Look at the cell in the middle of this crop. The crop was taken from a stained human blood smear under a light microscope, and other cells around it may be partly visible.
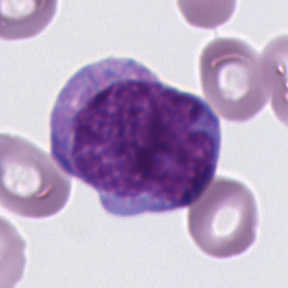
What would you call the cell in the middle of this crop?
atypical promyelocyte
